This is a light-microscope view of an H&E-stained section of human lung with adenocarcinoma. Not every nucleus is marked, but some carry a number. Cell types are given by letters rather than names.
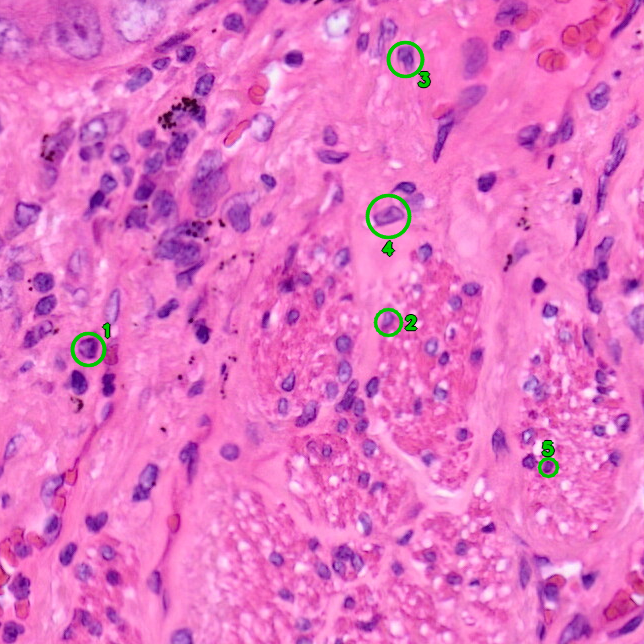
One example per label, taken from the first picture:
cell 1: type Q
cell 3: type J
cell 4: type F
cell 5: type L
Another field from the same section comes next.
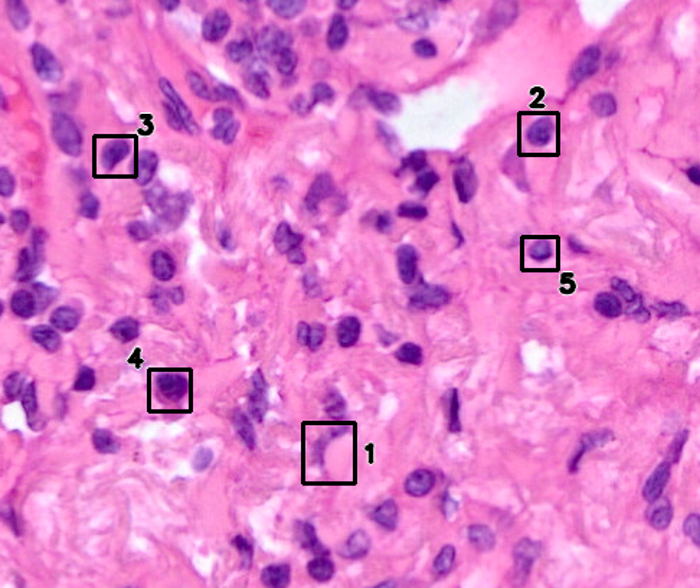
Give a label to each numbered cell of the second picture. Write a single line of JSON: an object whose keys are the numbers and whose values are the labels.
{"1": "type F", "2": "type J", "3": "type J", "4": "type Q", "5": "type J"}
